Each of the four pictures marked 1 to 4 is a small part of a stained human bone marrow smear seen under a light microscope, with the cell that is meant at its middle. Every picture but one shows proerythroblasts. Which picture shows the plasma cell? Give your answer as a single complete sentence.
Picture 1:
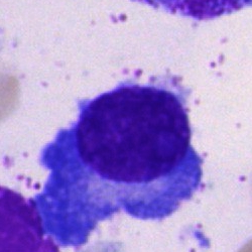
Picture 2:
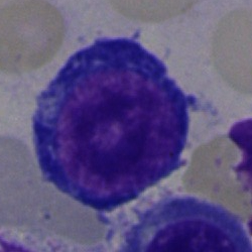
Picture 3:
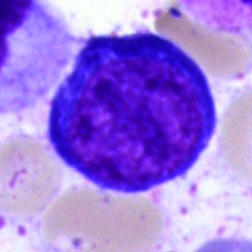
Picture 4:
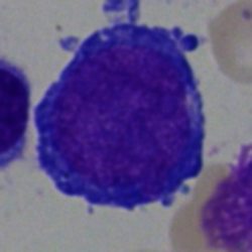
Picture 1 is the one that shows the plasma cell.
